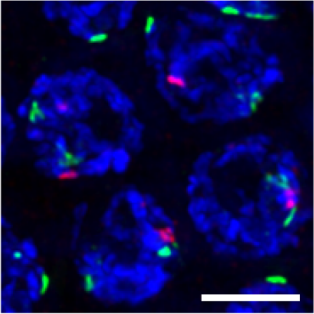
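Within each nucleus the chromatin forms coiled, thread-like tracks arranged largely around the periphery, leaving a darker centre. Small elongated red foci lie at the nuclear edge, typically one prominent focus per nucleus, and short green streaks or foci, usually two prominent ones, also sit on the chromatin near the periphery. Fainter green specks are scattered elsewhere.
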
